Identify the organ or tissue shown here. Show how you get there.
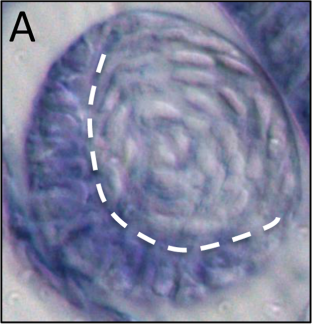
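Lens. A round, sharply bounded body with a smooth outer edge. Its centre is made of concentrically arranged elongated cells.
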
